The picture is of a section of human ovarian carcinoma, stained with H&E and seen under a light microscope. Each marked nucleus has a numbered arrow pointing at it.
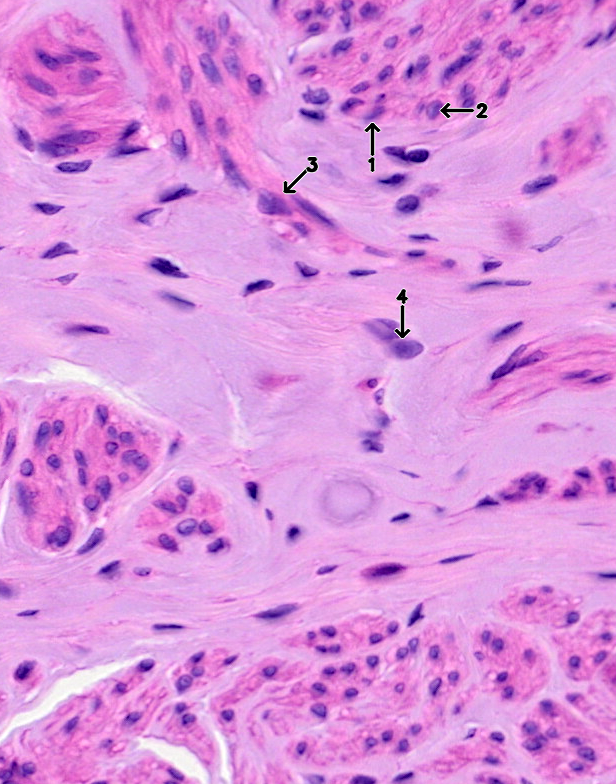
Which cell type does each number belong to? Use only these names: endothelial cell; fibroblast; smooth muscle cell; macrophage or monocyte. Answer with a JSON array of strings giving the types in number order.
["smooth muscle cell", "smooth muscle cell", "smooth muscle cell", "fibroblast"]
